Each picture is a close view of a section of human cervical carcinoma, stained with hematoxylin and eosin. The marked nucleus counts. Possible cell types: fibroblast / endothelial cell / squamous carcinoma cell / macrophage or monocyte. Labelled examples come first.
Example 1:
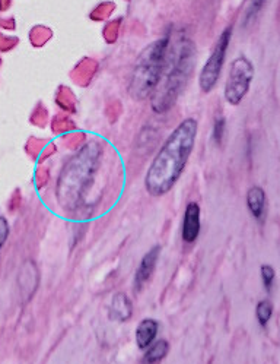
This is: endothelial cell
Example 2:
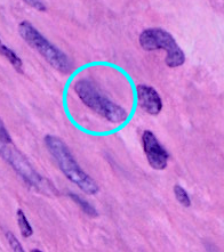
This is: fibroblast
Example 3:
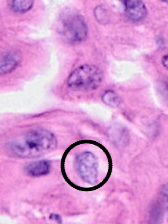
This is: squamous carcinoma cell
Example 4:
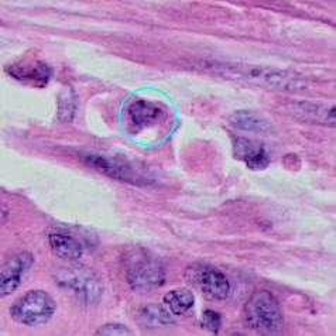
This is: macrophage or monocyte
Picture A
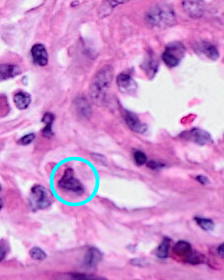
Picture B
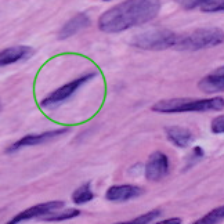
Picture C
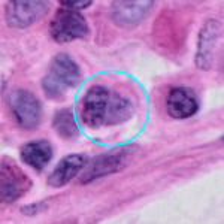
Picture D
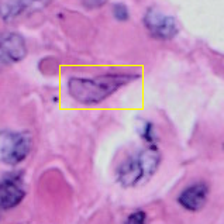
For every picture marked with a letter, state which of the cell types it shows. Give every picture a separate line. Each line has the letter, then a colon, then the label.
A: macrophage or monocyte
B: fibroblast
C: macrophage or monocyte
D: macrophage or monocyte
